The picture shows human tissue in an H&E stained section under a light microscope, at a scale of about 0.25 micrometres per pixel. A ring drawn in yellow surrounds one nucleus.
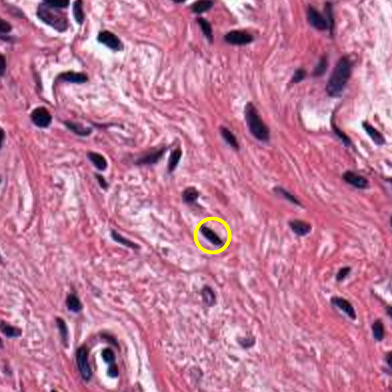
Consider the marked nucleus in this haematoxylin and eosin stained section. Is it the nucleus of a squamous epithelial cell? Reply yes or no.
no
